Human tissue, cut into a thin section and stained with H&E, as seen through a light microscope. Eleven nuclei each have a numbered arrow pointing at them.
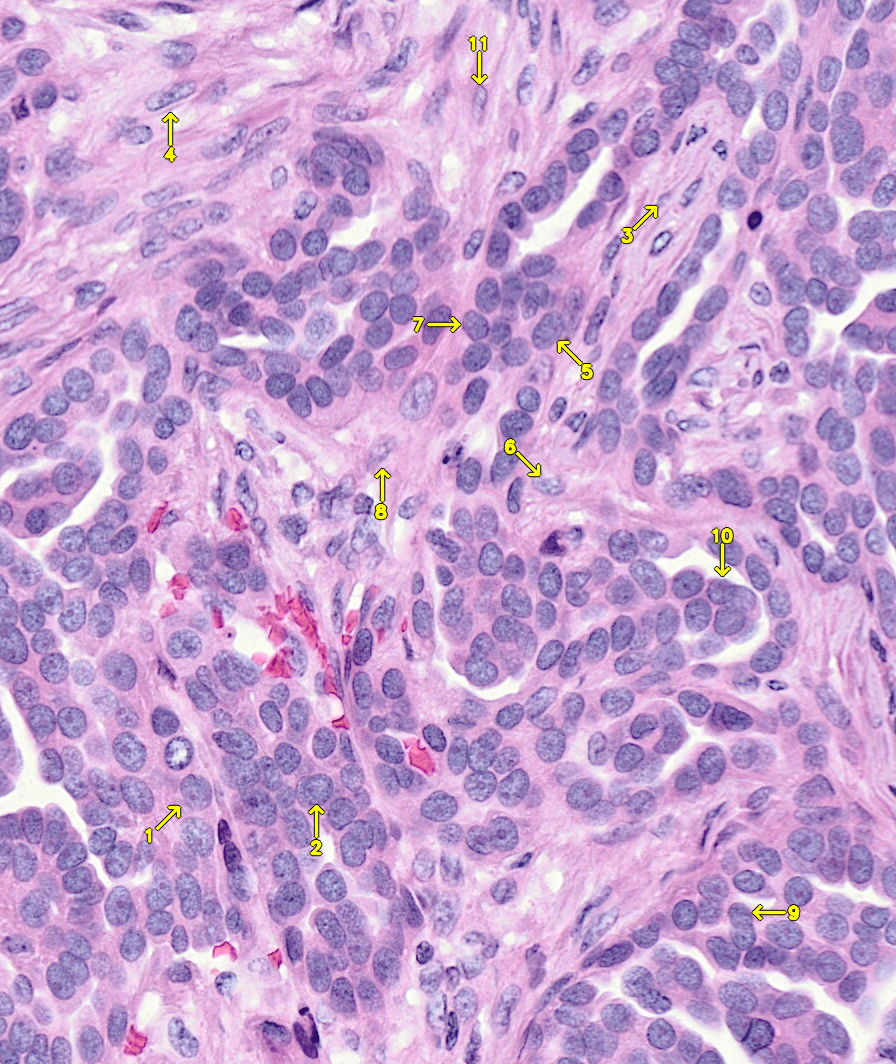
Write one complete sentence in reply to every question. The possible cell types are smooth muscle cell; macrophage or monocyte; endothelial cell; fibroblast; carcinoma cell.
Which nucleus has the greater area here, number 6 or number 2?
Of the two, number 2 is bigger and takes up about 1.5 times the area of number 6.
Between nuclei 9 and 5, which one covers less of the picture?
With nucleus 5 about 1.5 times its size, nucleus 9 is the smaller of the two.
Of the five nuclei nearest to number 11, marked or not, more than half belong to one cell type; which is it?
Of the five nuclei nearest to number 11, most belong to fibroblasts.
